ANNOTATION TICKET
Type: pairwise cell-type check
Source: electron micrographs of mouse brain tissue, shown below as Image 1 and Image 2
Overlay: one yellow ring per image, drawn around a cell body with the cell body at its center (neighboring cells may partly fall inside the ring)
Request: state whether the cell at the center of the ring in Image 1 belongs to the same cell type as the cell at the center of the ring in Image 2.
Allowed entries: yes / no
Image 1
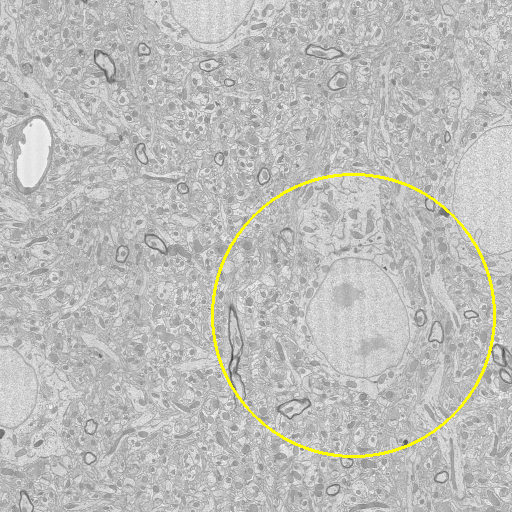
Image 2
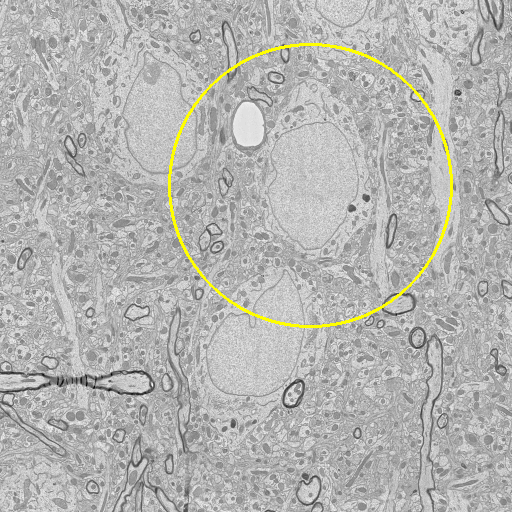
yes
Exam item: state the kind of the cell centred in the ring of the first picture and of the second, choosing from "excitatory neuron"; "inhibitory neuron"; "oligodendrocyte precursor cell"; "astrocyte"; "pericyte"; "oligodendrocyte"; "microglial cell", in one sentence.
Each of the two cells is an excitatory neuron.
